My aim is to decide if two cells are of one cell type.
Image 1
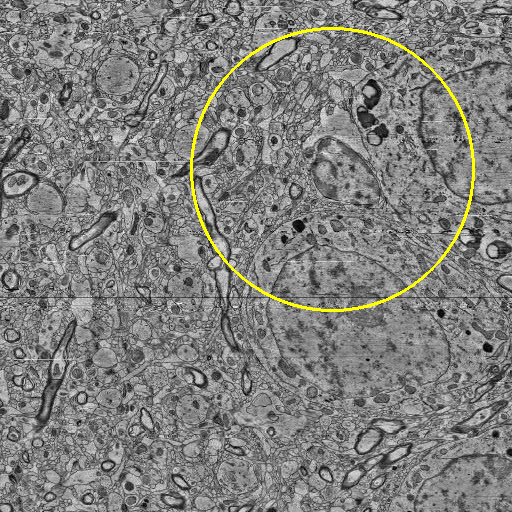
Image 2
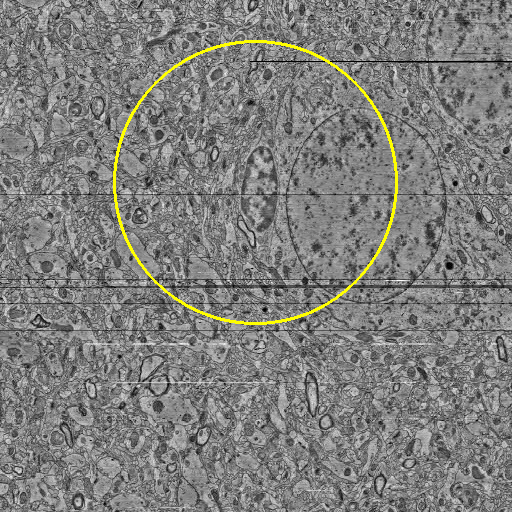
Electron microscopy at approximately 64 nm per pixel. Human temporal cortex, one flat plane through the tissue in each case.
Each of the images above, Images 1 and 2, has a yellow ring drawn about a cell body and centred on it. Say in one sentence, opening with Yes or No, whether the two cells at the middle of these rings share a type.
Yes, in Images 1 and 2 the cells at the middle of the rings share one type.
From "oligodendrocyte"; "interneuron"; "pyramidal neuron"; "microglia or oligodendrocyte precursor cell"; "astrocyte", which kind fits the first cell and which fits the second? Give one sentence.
The ring centre holds a microglial cell or oligodendrocyte precursor cell in each of the two pictures.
